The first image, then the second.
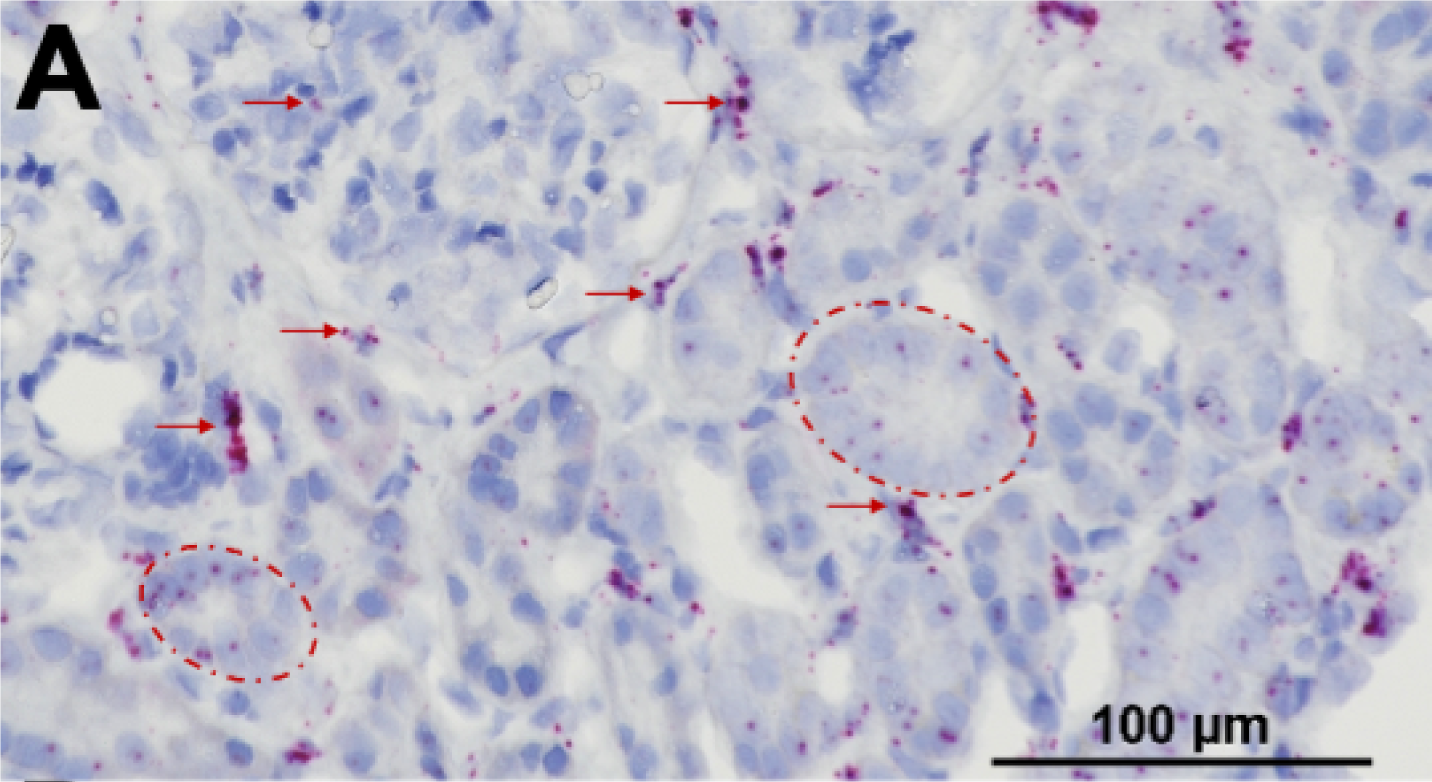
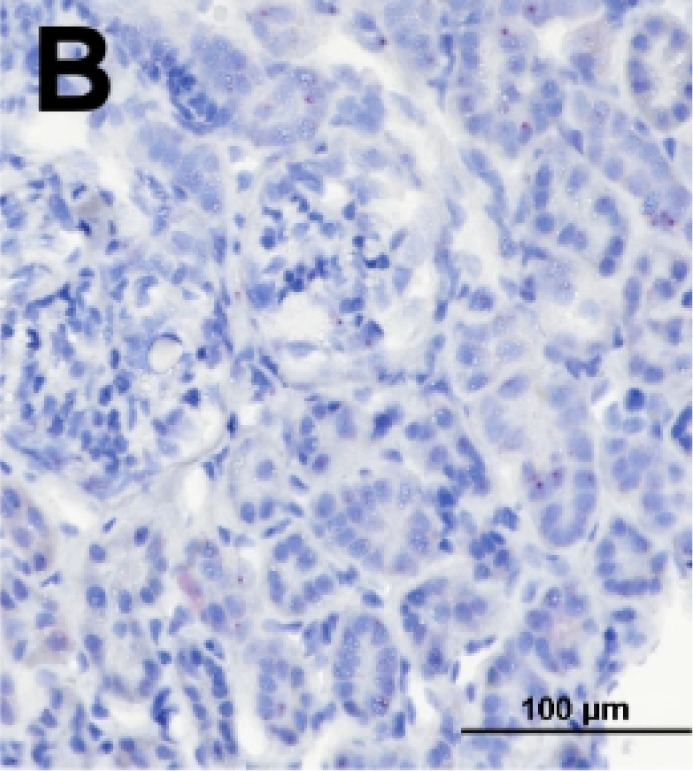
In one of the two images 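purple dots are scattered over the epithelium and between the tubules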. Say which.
the first image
